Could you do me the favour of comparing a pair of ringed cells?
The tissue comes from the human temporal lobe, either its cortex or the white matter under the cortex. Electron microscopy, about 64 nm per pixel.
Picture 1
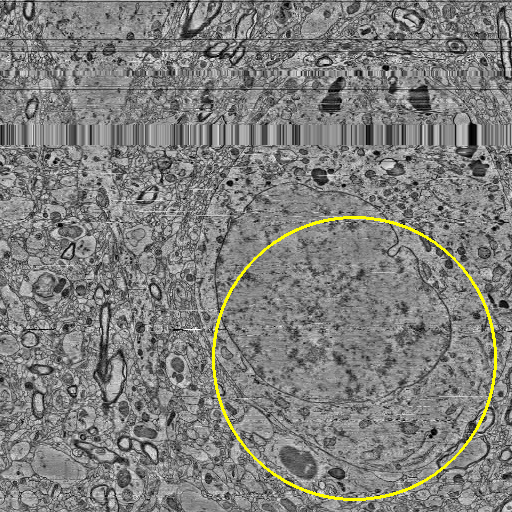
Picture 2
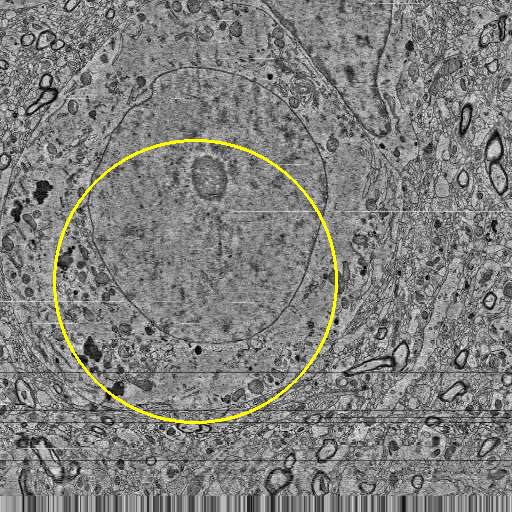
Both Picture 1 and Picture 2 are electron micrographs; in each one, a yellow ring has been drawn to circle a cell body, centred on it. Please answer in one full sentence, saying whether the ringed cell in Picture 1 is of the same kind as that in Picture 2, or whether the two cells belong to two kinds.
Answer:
The ringed cell in Picture 1 is of the same kind as that in Picture 2.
